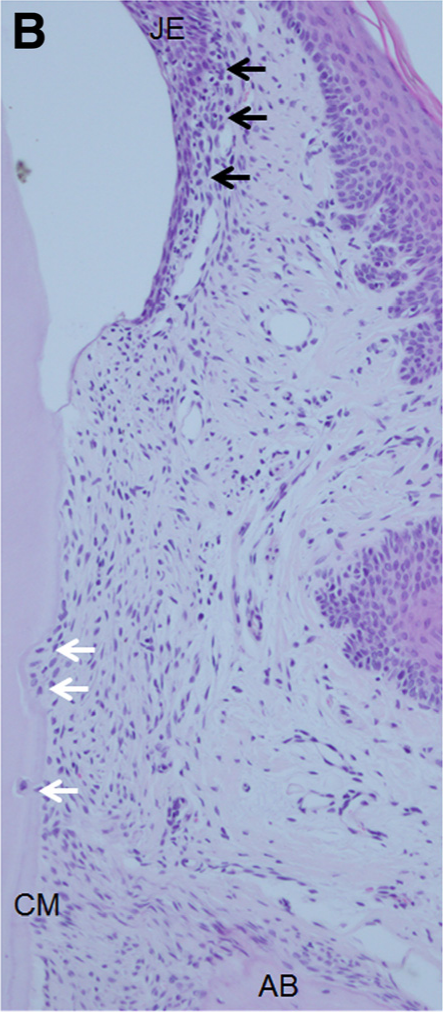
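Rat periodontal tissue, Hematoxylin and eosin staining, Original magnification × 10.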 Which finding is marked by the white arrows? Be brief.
Root resorption.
